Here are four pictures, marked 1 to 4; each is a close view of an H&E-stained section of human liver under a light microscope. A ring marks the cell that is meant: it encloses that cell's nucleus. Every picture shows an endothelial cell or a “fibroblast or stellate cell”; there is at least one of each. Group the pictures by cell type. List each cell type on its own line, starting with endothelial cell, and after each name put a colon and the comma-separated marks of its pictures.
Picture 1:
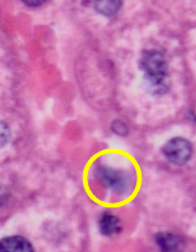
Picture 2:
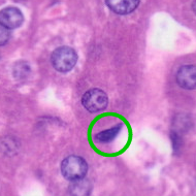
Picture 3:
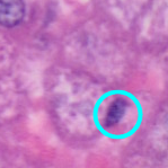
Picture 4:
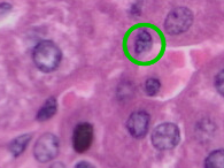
endothelial cell: 1
fibroblast or stellate cell: 2, 3, 4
